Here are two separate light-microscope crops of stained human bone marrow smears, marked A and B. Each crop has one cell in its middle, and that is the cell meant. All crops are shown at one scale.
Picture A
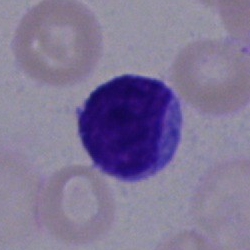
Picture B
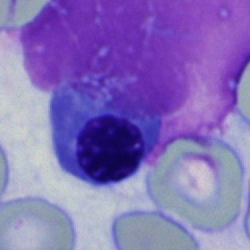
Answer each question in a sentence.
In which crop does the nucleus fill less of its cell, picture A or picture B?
It is the cell in picture B that is filled less by its nucleus.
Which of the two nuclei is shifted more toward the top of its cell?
In picture A the nucleus is shifted more toward the top.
